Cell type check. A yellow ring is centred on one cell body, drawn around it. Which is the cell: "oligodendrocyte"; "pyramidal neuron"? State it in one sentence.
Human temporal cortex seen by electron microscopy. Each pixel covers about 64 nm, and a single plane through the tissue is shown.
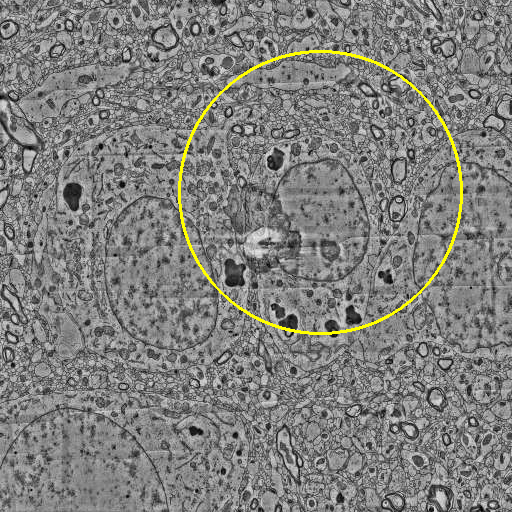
The cell body at the ring's centre belongs to a pyramidal neuron.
